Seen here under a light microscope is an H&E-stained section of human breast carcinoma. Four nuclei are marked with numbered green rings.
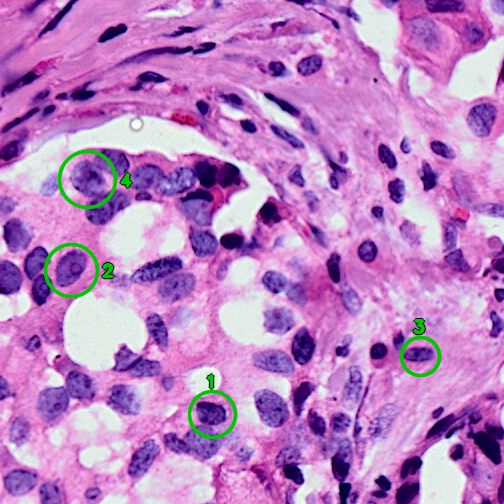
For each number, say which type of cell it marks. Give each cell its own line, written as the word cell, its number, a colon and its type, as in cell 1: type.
cell 1: carcinoma cell
cell 2: carcinoma cell
cell 3: mast cell
cell 4: carcinoma cell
